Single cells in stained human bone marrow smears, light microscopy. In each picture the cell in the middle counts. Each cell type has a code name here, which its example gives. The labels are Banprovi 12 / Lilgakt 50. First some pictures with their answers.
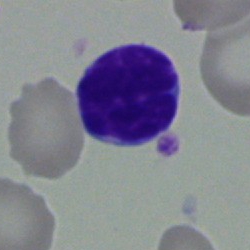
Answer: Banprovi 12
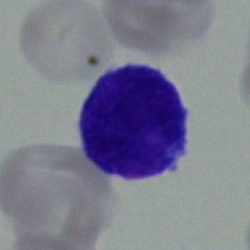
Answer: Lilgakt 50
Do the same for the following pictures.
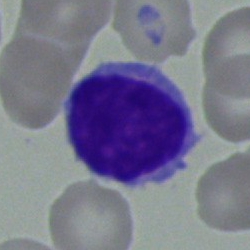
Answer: Banprovi 12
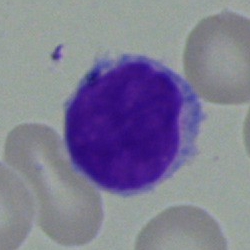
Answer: Banprovi 12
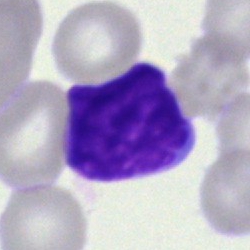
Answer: Lilgakt 50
